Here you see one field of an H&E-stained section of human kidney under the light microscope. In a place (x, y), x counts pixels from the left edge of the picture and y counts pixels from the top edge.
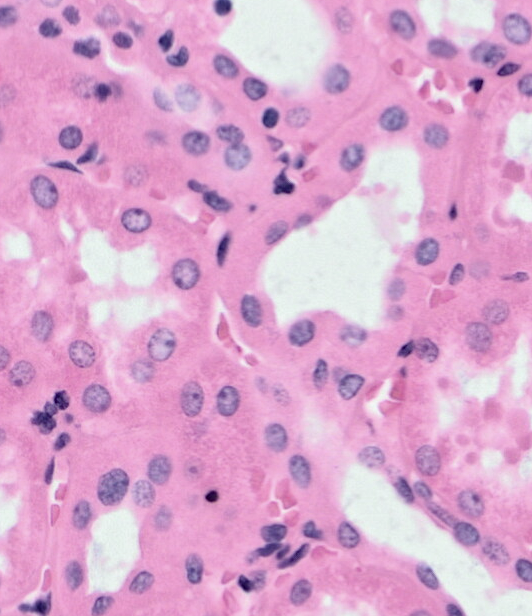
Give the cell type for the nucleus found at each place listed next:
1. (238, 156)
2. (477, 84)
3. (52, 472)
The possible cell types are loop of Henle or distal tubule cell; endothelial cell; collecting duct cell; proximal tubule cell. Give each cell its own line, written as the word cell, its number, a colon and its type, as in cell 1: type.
cell 1: collecting duct cell
cell 2: endothelial cell
cell 3: endothelial cell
